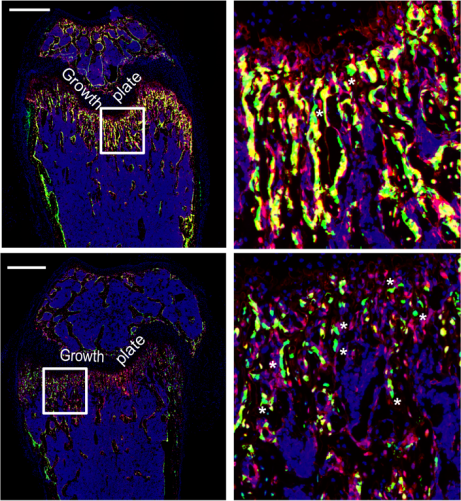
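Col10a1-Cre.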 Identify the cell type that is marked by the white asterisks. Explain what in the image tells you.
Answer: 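Osteoblasts. The asterisks sit beside small green cells among the trabeculae below the growth plate. The marked cells are green alone, not yellow.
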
